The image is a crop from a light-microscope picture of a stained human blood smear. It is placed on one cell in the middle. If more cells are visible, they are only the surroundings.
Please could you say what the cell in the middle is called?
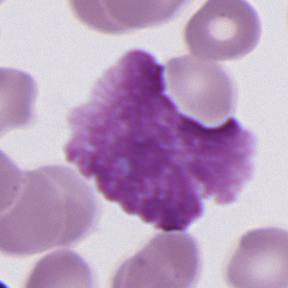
smudge cell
